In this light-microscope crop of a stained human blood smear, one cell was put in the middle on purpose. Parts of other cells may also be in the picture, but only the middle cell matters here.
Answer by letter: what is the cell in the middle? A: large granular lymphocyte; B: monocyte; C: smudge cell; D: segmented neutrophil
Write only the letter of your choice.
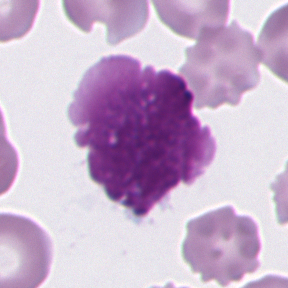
C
